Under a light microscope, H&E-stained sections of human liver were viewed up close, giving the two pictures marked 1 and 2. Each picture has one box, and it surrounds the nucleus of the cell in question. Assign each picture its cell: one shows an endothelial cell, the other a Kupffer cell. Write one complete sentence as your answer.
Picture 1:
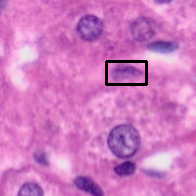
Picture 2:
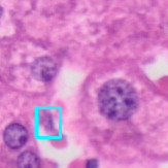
The cell in picture 1 is an endothelial cell, and the one in picture 2 is a Kupffer cell.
